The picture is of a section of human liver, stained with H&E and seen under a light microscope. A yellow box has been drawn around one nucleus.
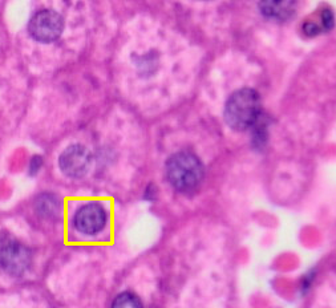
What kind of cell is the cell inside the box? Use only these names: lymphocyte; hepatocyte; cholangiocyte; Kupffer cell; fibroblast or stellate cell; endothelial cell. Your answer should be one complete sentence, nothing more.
In cellular terms, the cell inside the box is a hepatocyte.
